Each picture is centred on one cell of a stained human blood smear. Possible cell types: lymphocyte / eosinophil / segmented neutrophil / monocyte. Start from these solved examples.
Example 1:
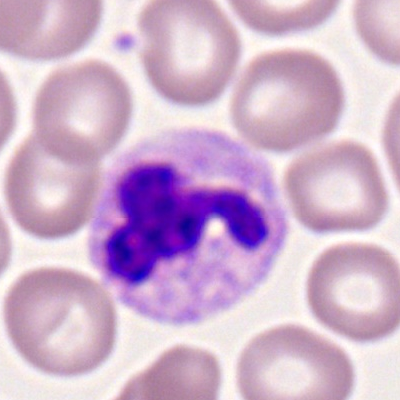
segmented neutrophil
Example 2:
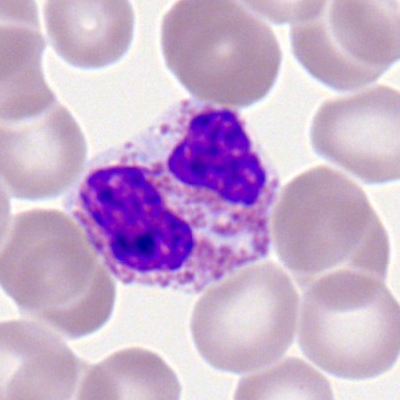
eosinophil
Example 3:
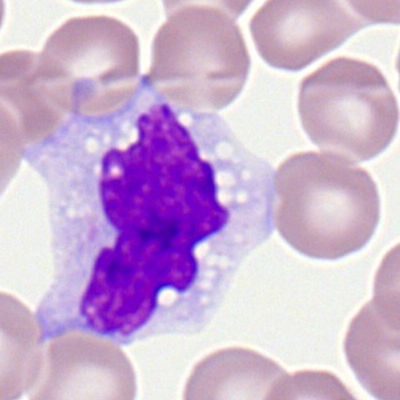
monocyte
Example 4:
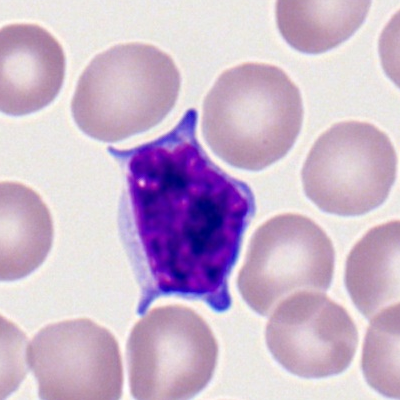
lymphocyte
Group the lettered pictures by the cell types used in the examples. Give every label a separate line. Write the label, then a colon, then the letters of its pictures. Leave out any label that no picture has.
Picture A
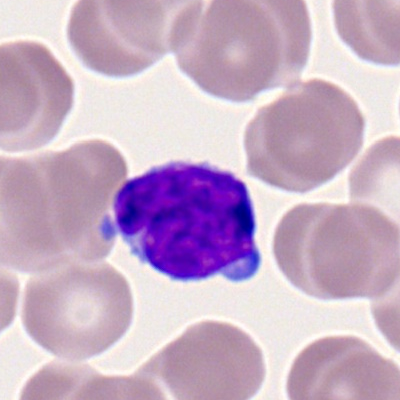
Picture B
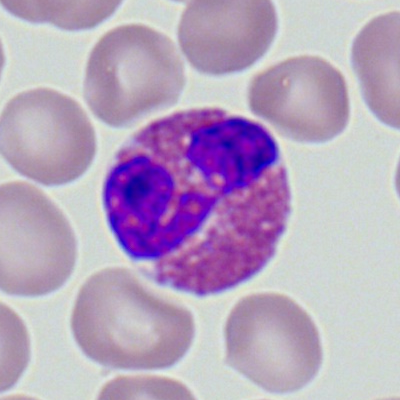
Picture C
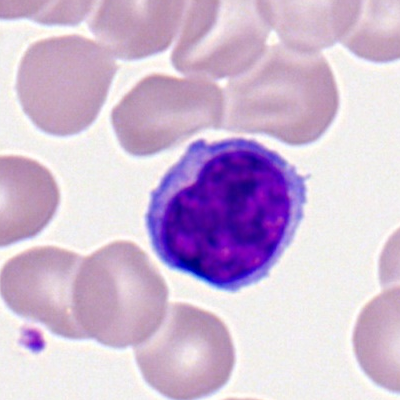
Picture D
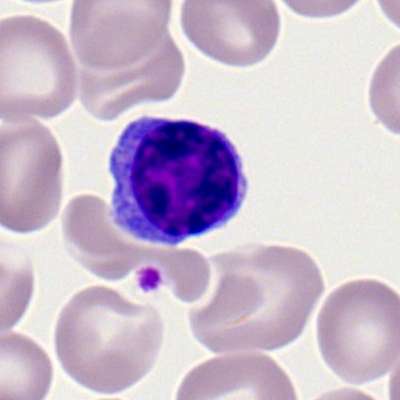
lymphocyte: A, C, D
eosinophil: B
